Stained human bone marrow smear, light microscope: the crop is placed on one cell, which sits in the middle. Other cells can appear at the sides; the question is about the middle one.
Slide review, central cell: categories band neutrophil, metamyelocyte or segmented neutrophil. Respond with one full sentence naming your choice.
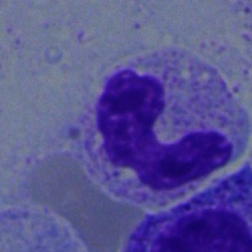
The cell in the exact centre of the crop is a band neutrophil.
